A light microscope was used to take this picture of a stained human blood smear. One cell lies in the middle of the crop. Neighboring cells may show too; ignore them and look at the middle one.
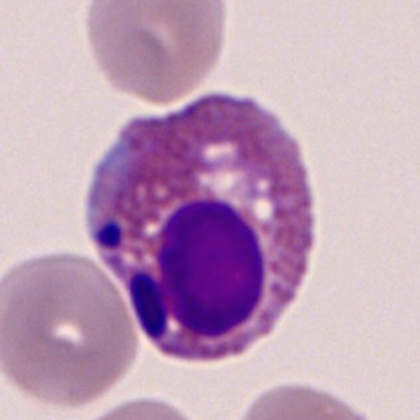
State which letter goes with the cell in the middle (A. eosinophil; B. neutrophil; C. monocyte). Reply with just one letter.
A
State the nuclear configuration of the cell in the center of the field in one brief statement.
The nucleus is one compact mass, round, oval or kidney-shaped in outline.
